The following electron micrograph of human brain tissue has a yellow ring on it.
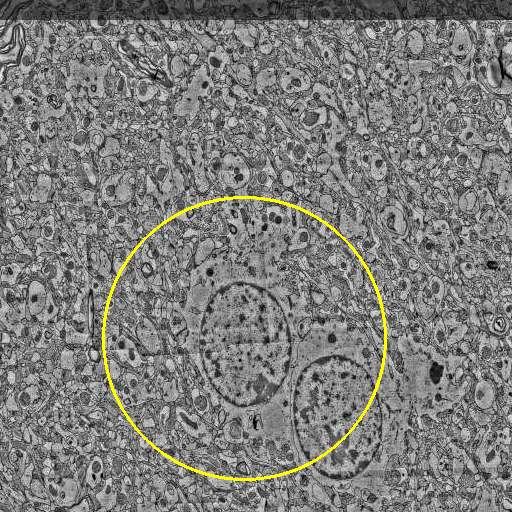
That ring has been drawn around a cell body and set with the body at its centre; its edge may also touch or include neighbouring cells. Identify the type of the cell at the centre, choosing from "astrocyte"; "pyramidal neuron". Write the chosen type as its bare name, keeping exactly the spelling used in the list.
astrocyte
